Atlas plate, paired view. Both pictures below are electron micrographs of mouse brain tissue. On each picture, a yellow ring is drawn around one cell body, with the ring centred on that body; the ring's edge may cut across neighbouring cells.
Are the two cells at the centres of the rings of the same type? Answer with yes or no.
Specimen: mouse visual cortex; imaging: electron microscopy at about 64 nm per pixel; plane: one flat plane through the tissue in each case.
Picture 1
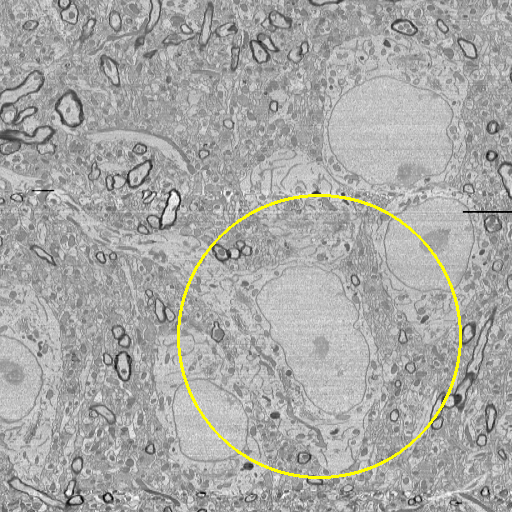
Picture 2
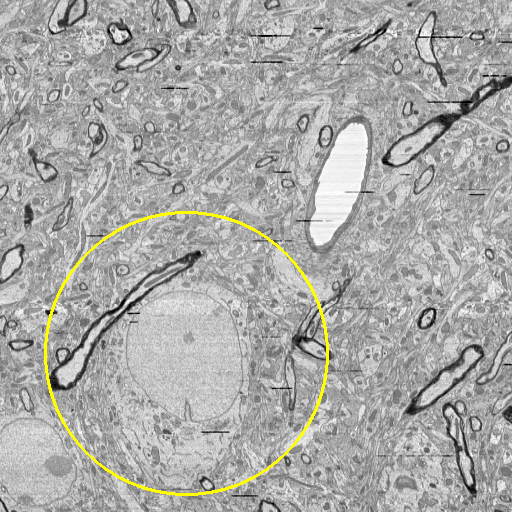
yes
